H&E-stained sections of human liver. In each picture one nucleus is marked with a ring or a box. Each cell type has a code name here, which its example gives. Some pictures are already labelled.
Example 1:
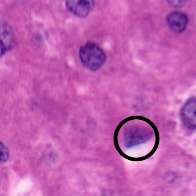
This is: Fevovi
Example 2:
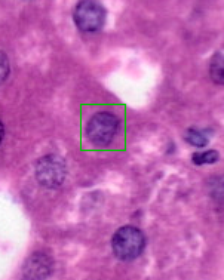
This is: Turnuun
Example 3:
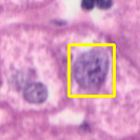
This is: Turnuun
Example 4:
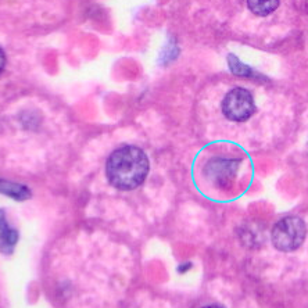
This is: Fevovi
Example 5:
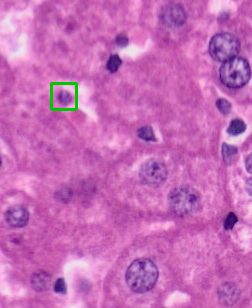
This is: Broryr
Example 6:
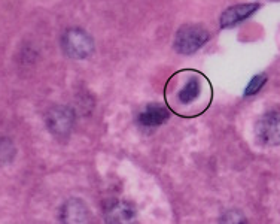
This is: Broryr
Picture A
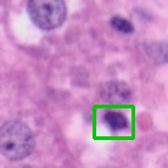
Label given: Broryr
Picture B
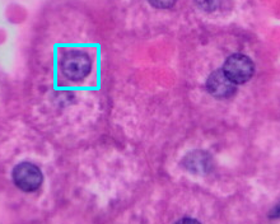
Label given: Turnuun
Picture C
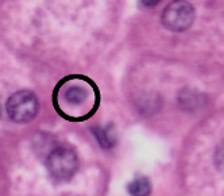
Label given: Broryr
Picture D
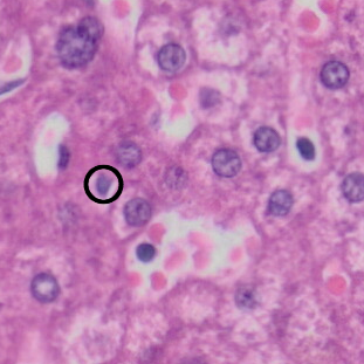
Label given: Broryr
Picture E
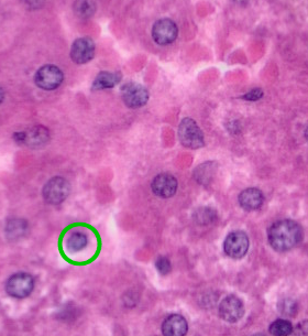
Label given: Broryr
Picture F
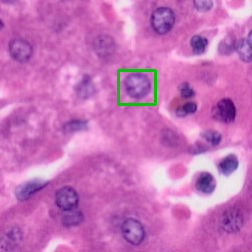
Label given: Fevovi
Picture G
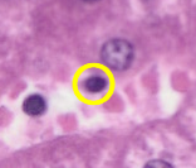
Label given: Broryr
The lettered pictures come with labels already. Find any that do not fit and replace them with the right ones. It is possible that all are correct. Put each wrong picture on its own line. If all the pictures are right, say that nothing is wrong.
F is labelled Fevovi; correct label: Turnuun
